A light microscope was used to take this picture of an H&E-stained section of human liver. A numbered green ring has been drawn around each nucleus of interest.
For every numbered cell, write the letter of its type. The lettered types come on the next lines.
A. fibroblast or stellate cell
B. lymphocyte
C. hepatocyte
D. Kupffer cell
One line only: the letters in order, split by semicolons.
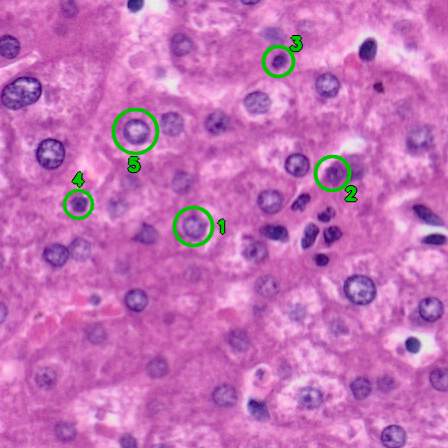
C; D; B; A; C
